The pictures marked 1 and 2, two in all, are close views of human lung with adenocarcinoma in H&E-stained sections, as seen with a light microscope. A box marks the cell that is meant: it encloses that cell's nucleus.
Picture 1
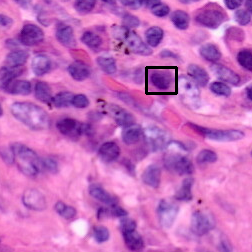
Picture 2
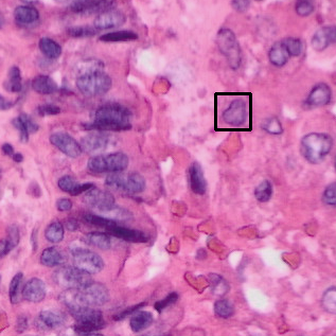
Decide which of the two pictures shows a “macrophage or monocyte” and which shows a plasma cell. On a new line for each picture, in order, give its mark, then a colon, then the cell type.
1: plasma cell
2: macrophage or monocyte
